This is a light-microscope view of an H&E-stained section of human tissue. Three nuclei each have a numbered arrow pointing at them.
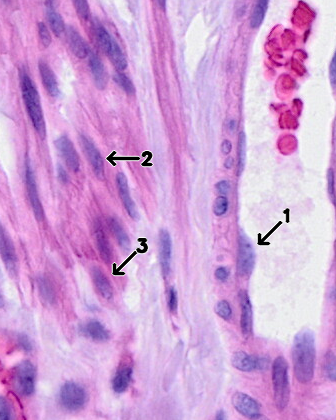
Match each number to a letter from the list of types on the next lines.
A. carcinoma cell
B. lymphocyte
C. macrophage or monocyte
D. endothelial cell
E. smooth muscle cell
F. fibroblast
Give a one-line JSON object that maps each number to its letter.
{"1": "D", "2": "E", "3": "E"}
